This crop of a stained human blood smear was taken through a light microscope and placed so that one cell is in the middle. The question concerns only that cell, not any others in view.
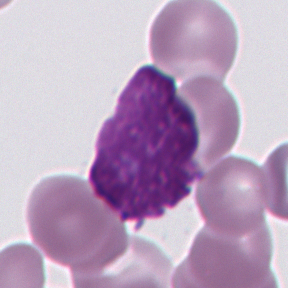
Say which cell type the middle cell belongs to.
smudge cell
